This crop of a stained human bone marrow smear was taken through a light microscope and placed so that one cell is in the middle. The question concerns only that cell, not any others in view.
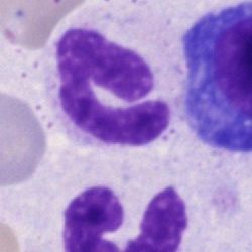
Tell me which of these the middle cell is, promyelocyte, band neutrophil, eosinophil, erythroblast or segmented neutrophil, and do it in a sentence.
Regarding the central cell, it is a band neutrophil.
